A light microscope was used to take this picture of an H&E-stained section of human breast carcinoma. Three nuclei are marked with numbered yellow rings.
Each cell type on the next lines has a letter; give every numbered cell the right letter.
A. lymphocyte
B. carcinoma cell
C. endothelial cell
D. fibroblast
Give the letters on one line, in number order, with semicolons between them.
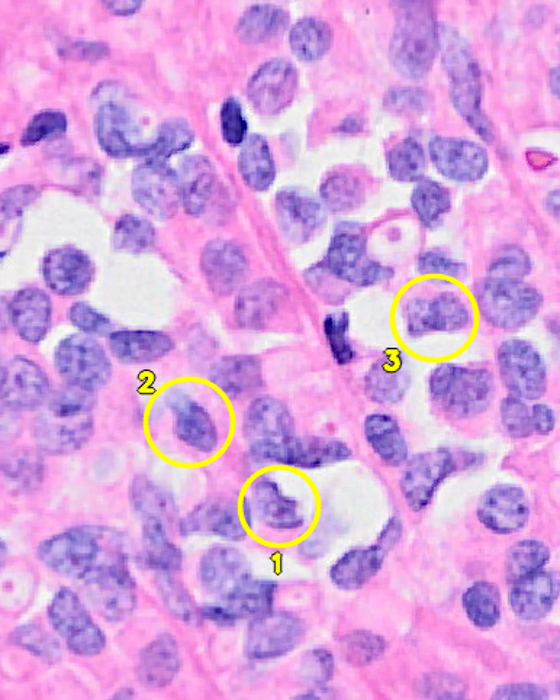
B; C; B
